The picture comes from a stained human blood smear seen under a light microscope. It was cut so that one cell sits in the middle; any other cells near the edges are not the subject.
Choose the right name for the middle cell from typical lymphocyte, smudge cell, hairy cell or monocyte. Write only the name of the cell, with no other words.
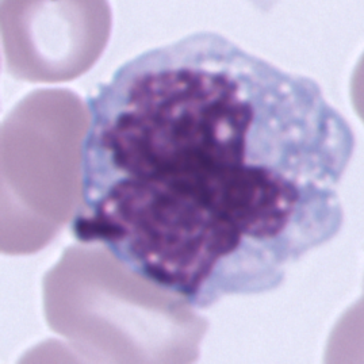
monocyte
